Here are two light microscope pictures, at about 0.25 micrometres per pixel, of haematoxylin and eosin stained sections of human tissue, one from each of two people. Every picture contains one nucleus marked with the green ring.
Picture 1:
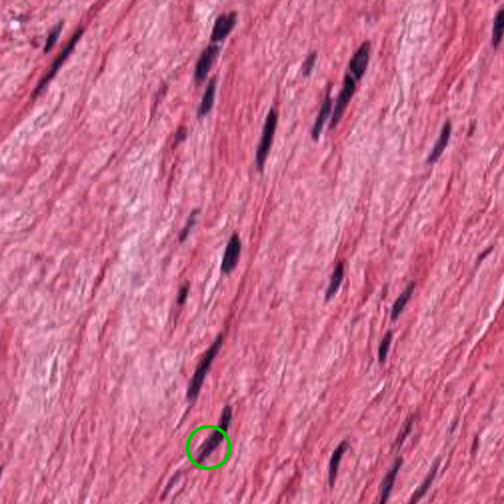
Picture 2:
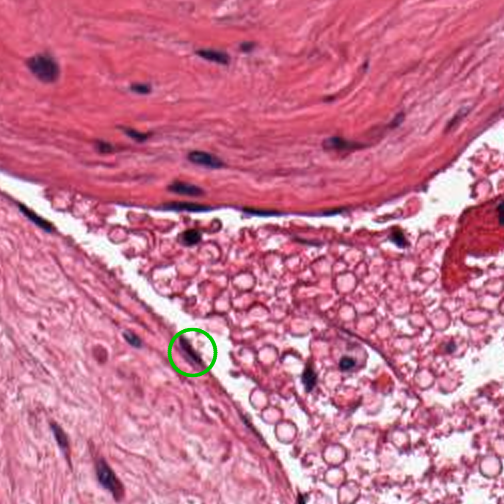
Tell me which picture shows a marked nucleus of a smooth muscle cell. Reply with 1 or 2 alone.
1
